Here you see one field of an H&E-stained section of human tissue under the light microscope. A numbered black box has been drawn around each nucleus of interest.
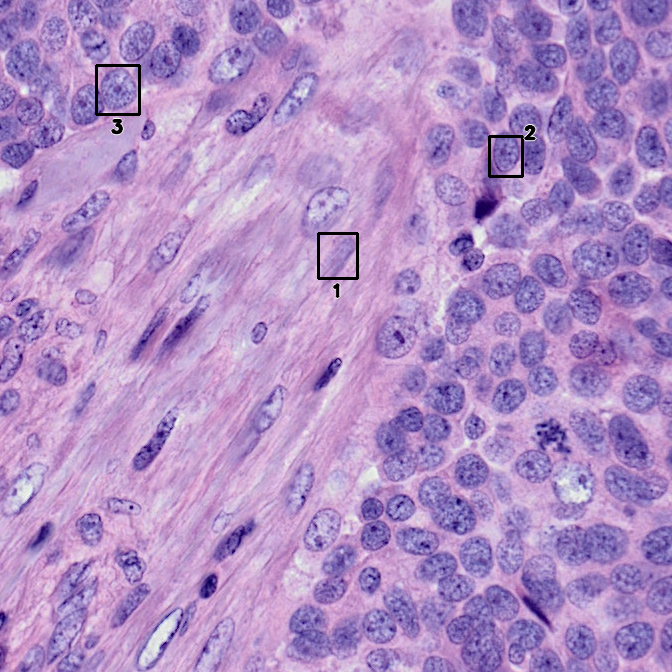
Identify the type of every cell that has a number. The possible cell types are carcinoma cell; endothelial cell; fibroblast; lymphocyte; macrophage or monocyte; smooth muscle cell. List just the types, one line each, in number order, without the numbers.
fibroblast
carcinoma cell
carcinoma cell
